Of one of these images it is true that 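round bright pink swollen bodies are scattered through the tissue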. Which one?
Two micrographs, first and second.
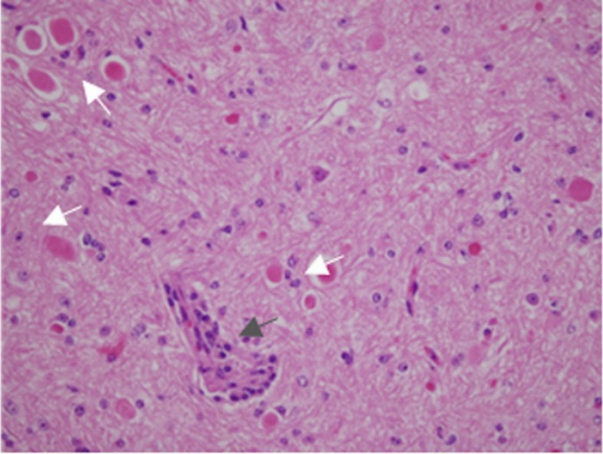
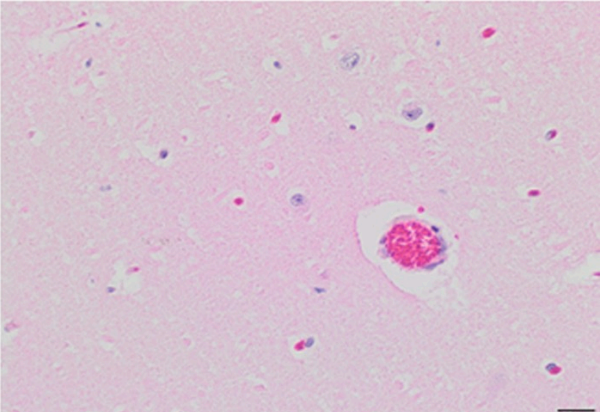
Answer: The first image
